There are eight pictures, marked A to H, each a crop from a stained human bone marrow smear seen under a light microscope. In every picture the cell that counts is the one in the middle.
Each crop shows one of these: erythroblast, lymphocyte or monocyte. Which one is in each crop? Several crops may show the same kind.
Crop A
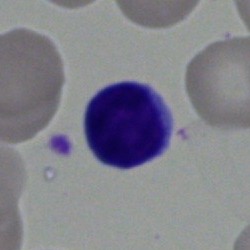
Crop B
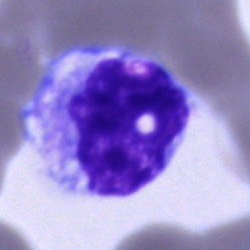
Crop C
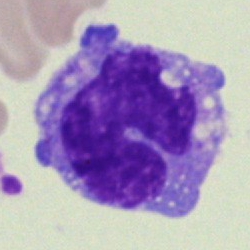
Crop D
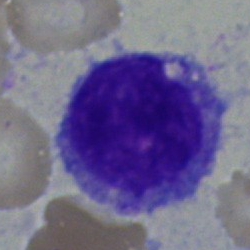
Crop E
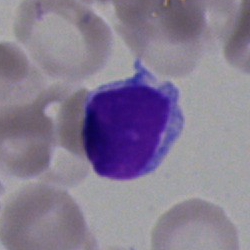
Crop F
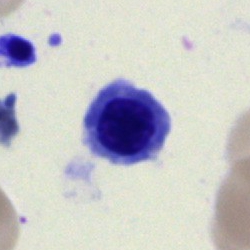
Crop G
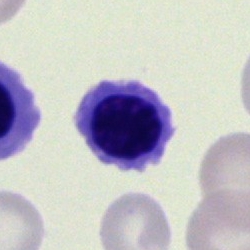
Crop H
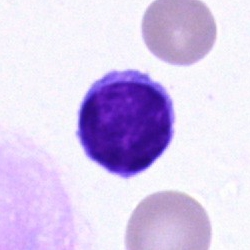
A: lymphocyte
B: monocyte
C: monocyte
D: monocyte
E: lymphocyte
F: erythroblast
G: erythroblast
H: lymphocyte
